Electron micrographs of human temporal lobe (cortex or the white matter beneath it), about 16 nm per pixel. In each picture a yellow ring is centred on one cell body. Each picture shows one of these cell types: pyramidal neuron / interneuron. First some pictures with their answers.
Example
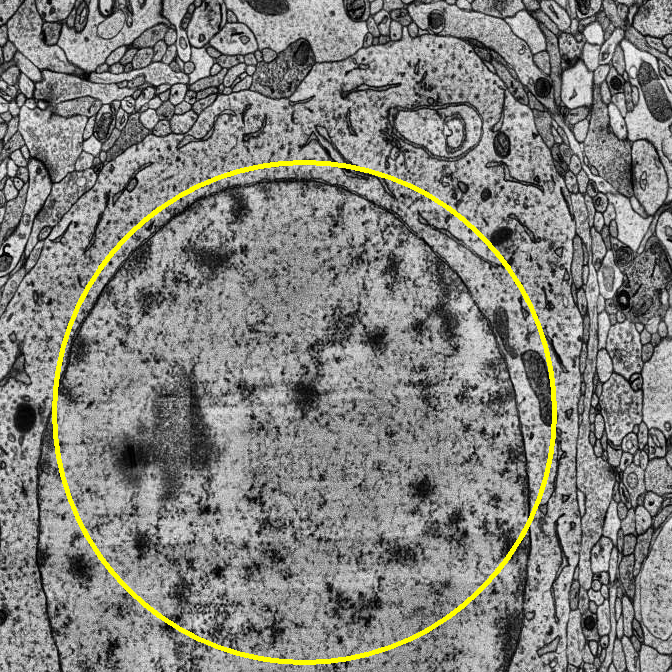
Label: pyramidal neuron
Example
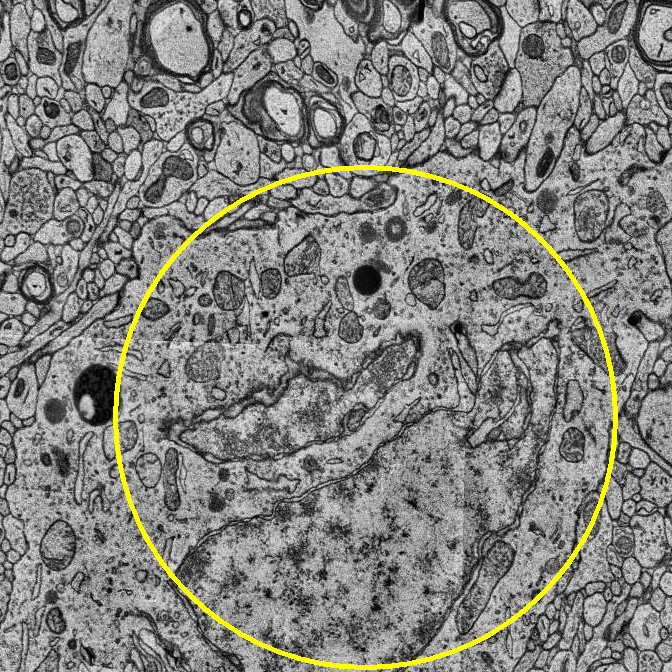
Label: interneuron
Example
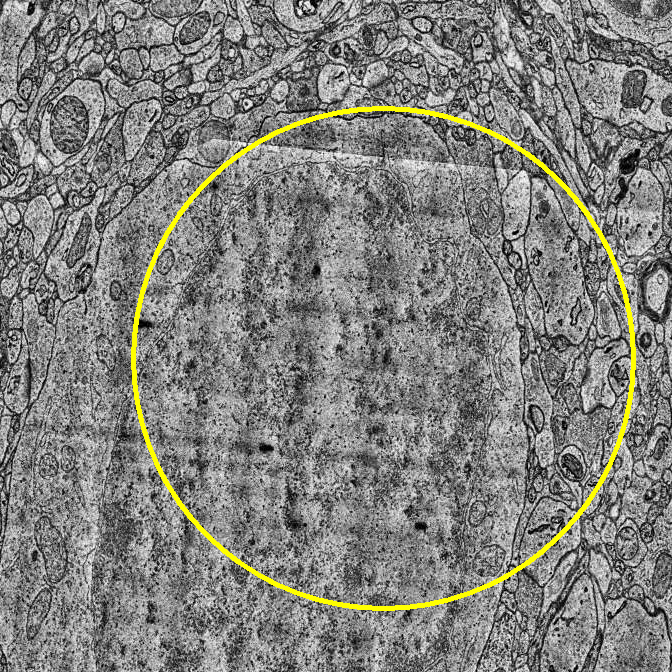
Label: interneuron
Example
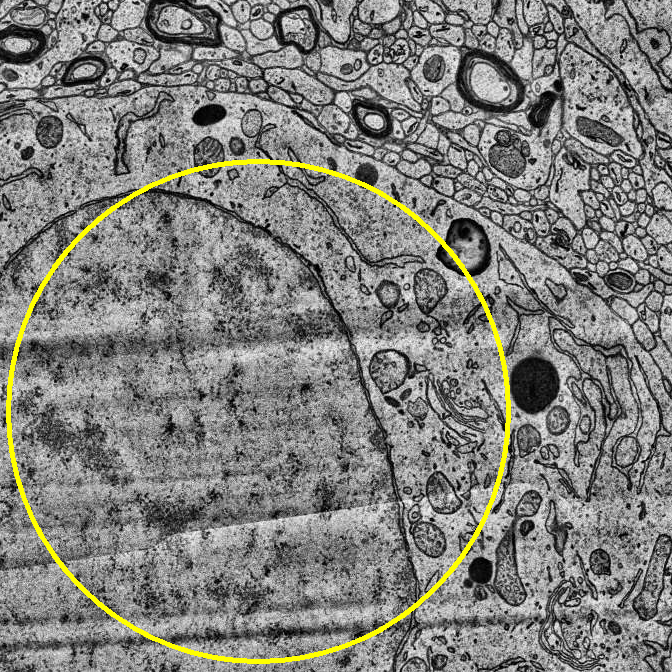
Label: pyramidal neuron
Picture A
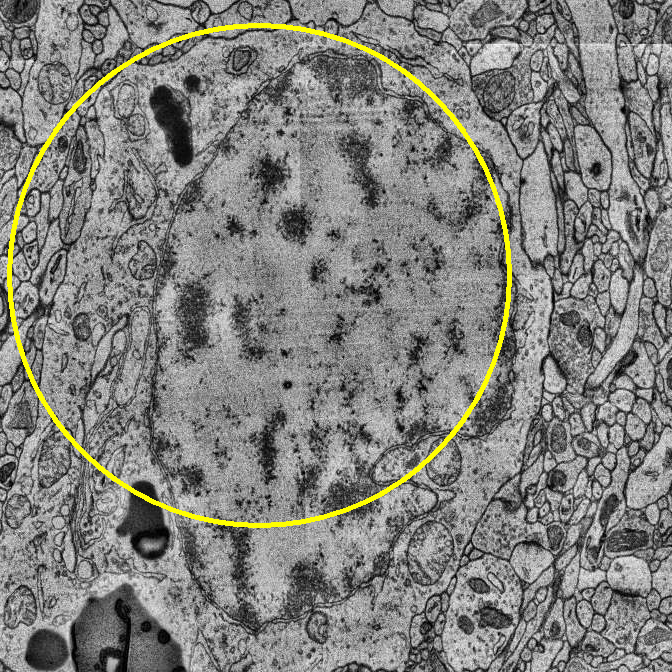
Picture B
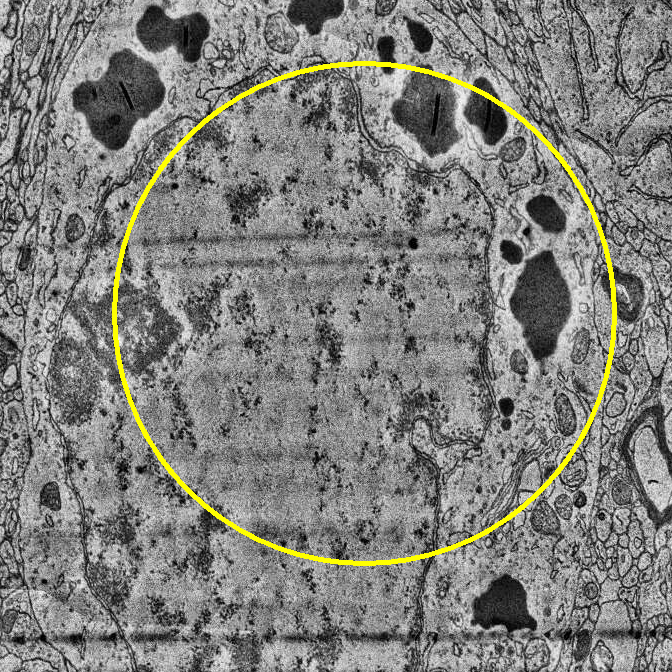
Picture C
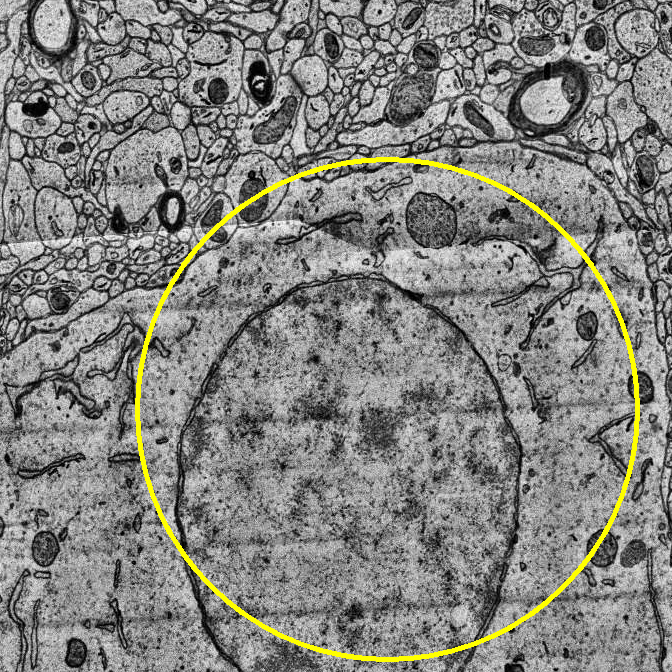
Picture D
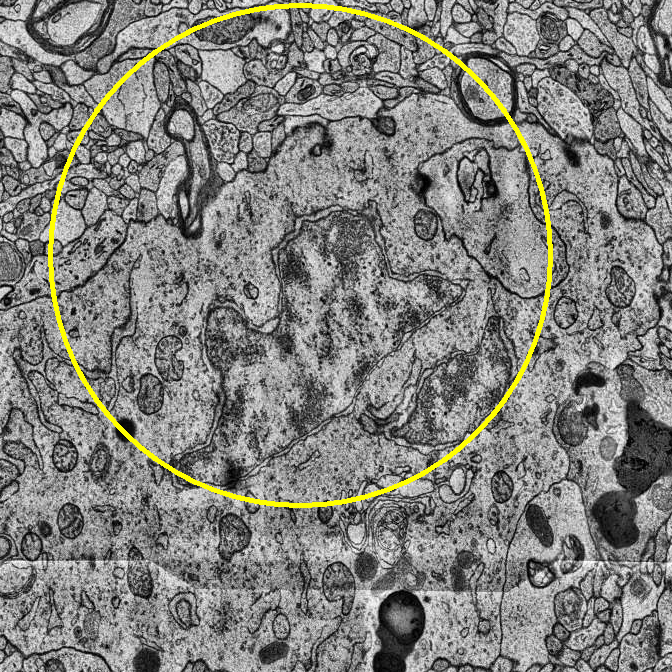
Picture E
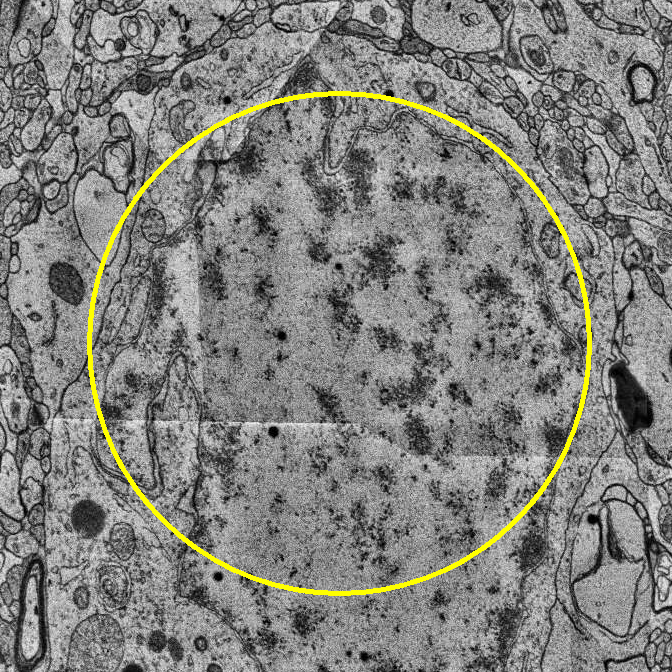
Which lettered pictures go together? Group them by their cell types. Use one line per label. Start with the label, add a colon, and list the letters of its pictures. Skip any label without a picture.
pyramidal neuron: C
interneuron: A, B, D, E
